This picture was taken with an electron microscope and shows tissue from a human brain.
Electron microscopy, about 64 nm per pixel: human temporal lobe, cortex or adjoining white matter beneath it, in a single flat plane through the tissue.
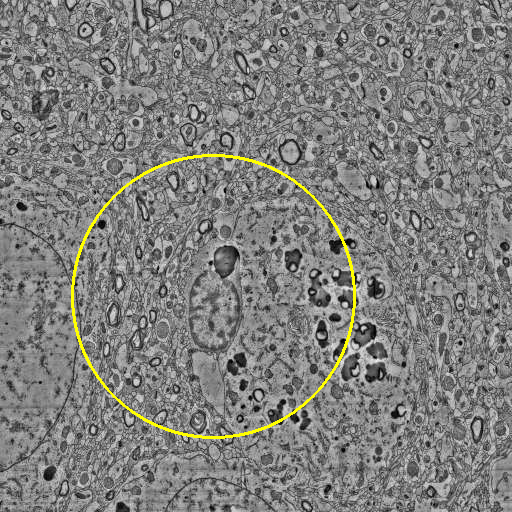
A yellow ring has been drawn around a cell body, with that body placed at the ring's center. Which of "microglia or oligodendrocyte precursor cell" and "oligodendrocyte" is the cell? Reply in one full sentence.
In this picture, an oligodendrocyte is the cell at the center of the yellow ring.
